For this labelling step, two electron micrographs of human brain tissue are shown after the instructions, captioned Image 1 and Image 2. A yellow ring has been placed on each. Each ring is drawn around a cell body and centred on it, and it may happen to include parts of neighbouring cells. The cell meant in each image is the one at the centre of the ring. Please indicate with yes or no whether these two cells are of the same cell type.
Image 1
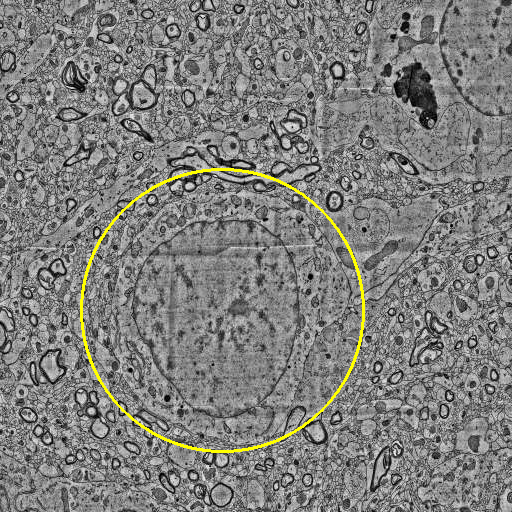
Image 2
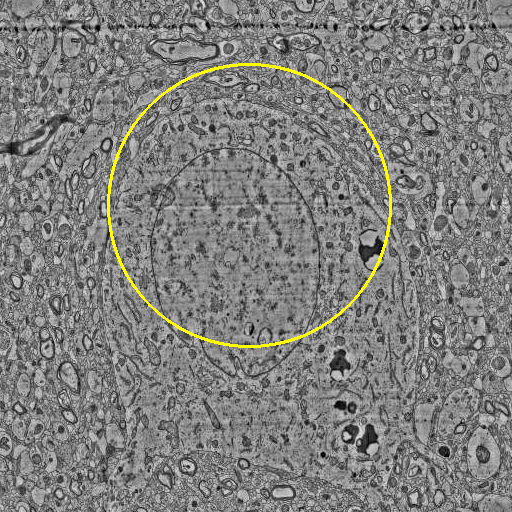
yes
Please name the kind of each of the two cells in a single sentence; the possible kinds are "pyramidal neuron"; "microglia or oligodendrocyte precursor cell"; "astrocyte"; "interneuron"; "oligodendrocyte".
Both cells are the same kind, each one being a pyramidal neuron.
